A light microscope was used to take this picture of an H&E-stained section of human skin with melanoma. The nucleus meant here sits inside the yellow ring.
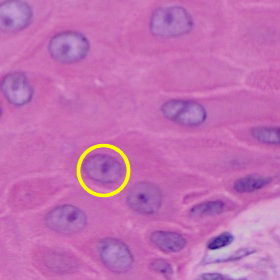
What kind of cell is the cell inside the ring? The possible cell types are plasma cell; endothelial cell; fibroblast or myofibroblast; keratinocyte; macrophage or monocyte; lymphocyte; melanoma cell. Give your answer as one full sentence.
Within the stained tissue, the cell inside the ring is a keratinocyte.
